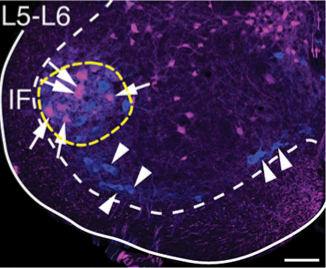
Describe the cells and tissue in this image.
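A cross-section of the lumbar ventral horn shows a rounded dorsolateral cluster of large blue neurons outlined in yellow. Many of the cells in this cluster are magenta. Smaller groups of blue neurons lie more ventrally and medially along the edge of the grey matter and lack magenta.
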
